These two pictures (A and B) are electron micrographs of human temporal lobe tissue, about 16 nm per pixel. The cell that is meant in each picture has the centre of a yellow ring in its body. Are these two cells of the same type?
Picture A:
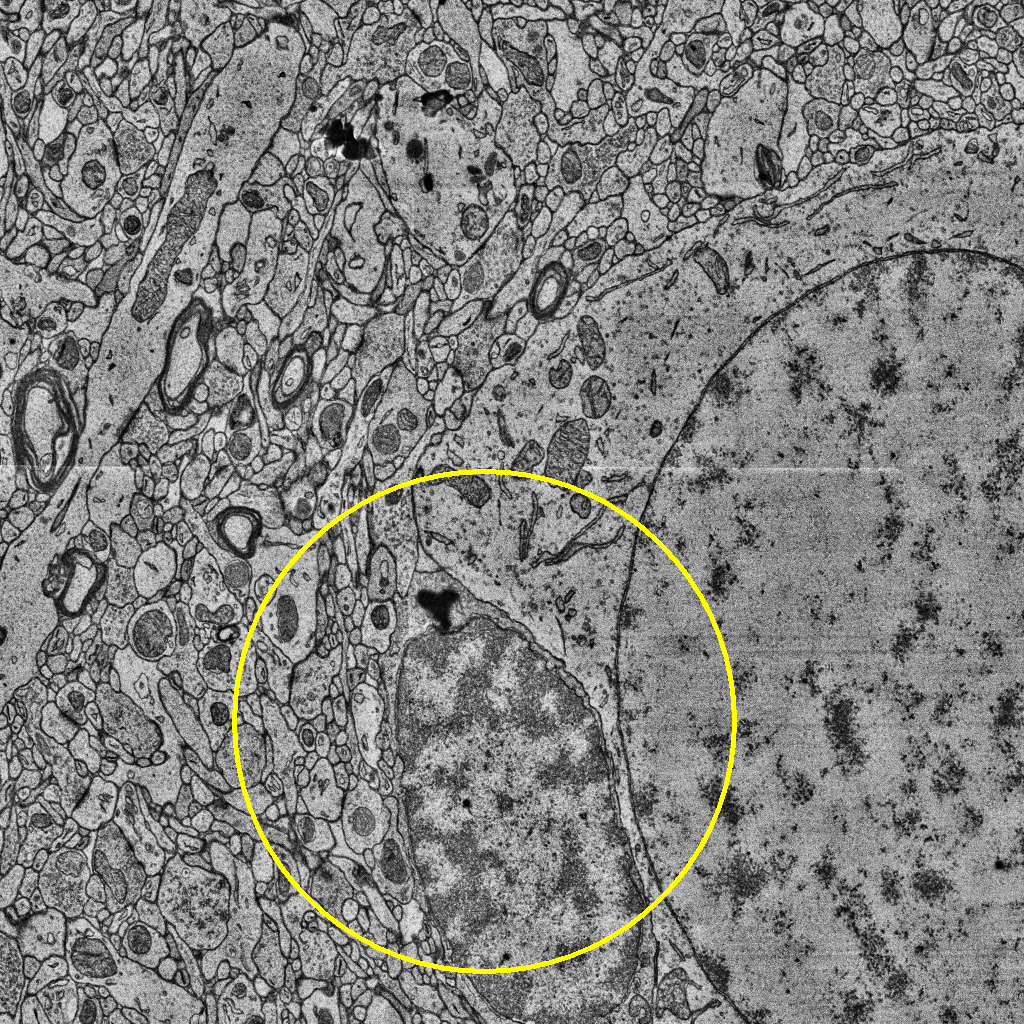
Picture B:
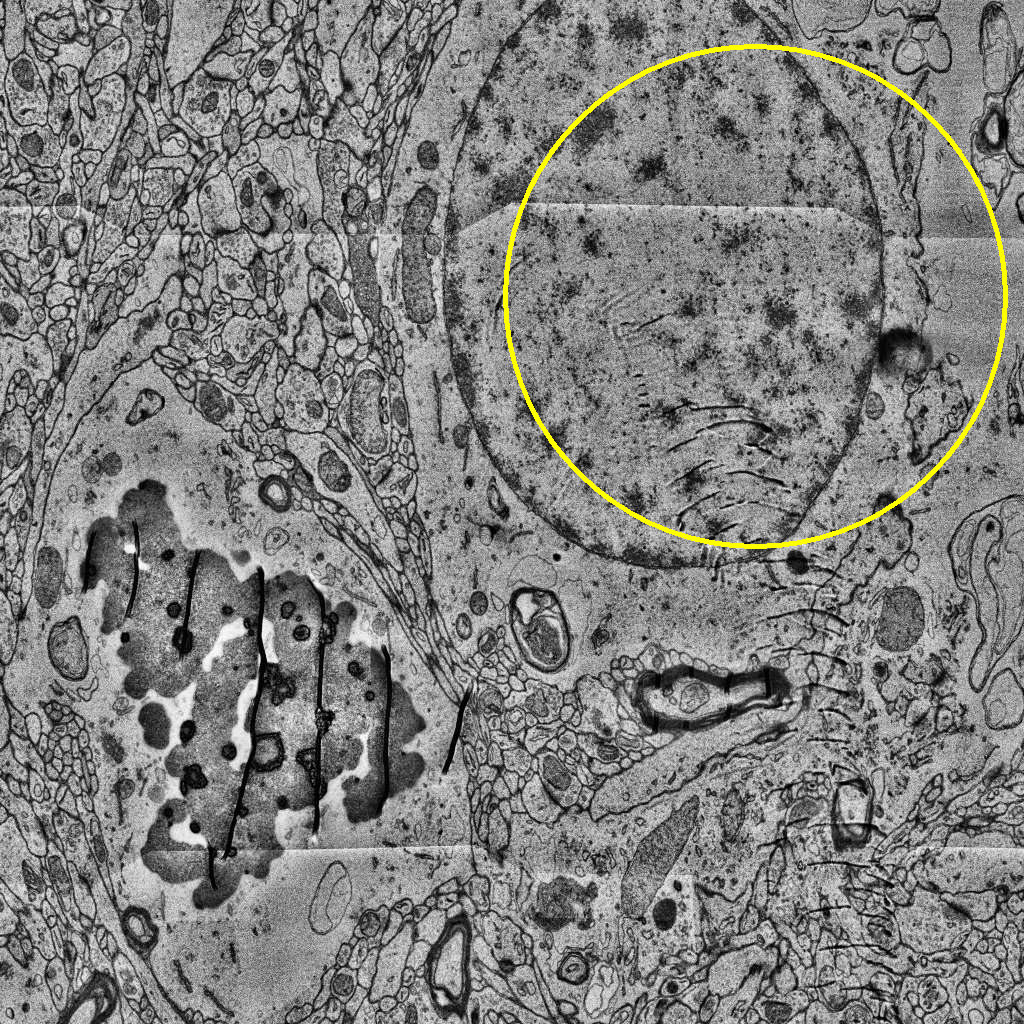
No. Picture A shows an oligodendrocyte, but picture B shows an astrocyte.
